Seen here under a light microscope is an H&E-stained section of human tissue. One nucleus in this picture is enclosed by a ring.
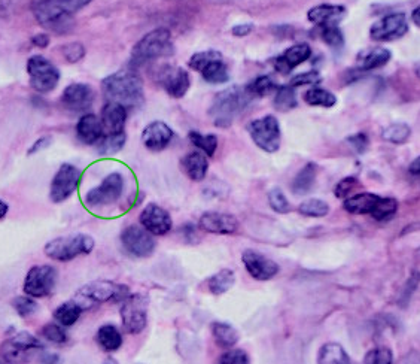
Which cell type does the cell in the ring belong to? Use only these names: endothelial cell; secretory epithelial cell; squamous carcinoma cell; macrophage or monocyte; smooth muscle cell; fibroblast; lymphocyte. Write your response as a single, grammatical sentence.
By cell type, the cell in the ring is a lymphocyte.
